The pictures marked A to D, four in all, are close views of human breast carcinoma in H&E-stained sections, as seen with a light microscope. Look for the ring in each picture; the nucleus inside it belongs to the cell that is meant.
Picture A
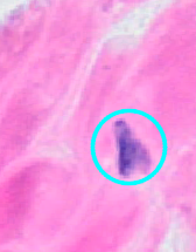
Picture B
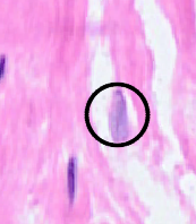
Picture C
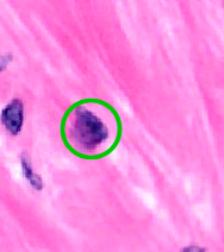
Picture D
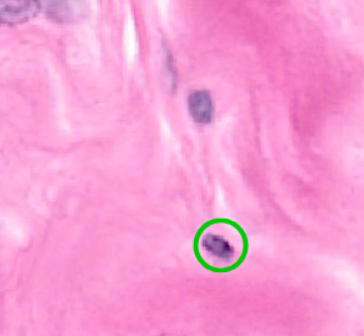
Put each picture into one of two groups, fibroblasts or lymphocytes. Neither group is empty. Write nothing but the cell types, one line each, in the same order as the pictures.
fibroblast
fibroblast
lymphocyte
lymphocyte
